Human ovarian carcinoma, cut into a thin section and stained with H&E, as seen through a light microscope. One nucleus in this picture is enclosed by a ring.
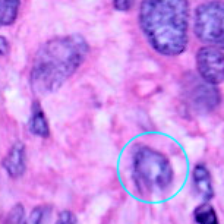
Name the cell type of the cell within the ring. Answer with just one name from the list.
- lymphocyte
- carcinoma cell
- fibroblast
fibroblast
